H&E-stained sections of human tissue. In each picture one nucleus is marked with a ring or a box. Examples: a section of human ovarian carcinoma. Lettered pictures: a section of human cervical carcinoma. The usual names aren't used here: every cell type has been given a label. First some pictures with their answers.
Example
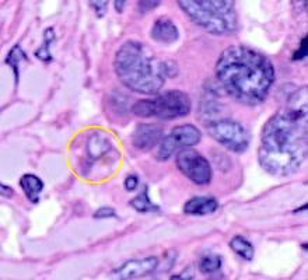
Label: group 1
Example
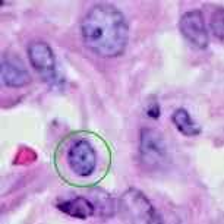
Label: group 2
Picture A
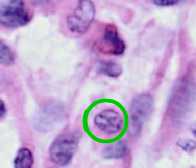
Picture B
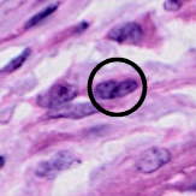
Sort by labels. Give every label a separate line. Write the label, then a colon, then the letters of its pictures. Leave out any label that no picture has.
group 2: A, B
